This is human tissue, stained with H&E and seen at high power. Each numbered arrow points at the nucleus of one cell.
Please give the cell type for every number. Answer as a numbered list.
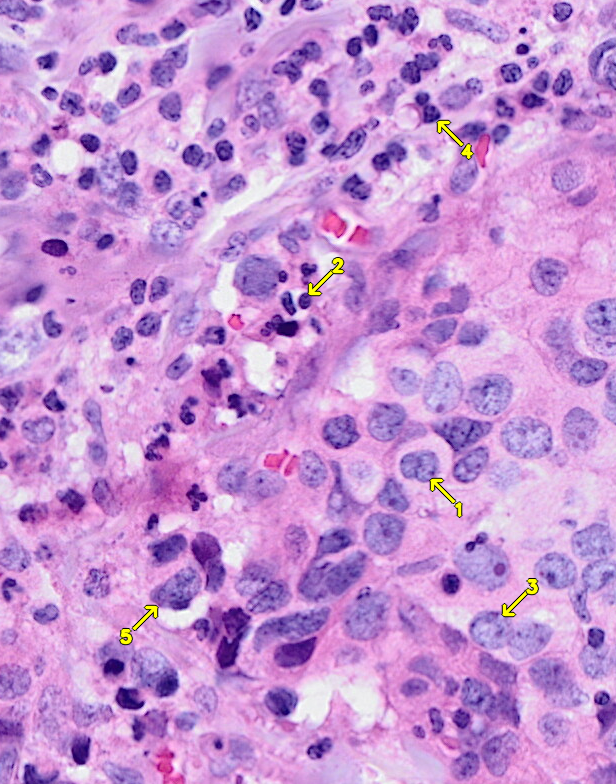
1. carcinoma cell
2. lymphocyte
3. carcinoma cell
4. lymphocyte
5. carcinoma cell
